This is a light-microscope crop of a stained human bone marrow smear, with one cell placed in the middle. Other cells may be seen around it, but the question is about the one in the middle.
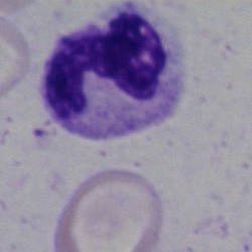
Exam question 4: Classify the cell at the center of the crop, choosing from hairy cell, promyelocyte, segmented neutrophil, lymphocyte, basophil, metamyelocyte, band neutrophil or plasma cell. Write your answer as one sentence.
The middle of this crop holds a segmented neutrophil.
